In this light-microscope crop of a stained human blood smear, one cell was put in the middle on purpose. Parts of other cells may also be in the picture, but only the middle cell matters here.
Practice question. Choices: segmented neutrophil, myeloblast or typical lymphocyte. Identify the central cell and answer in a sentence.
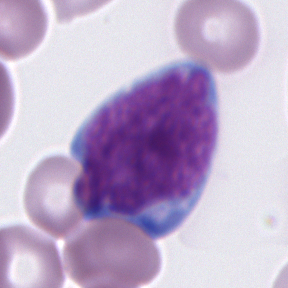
The cell found in the middle of this crop is a myeloblast.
